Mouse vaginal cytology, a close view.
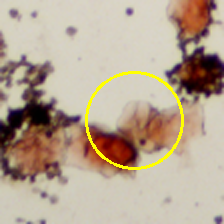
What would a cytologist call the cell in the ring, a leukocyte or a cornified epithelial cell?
A cytologist would call it a cornified epithelial cell.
